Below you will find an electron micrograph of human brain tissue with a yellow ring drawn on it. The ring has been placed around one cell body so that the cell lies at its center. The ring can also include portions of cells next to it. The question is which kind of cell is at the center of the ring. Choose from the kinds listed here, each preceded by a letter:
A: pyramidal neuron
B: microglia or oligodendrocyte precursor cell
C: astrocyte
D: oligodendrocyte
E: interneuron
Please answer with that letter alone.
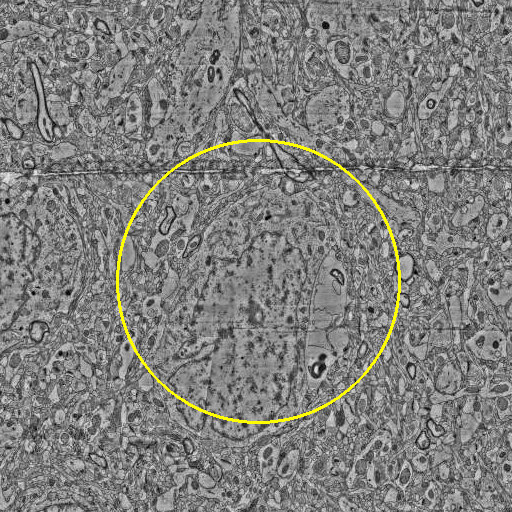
E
